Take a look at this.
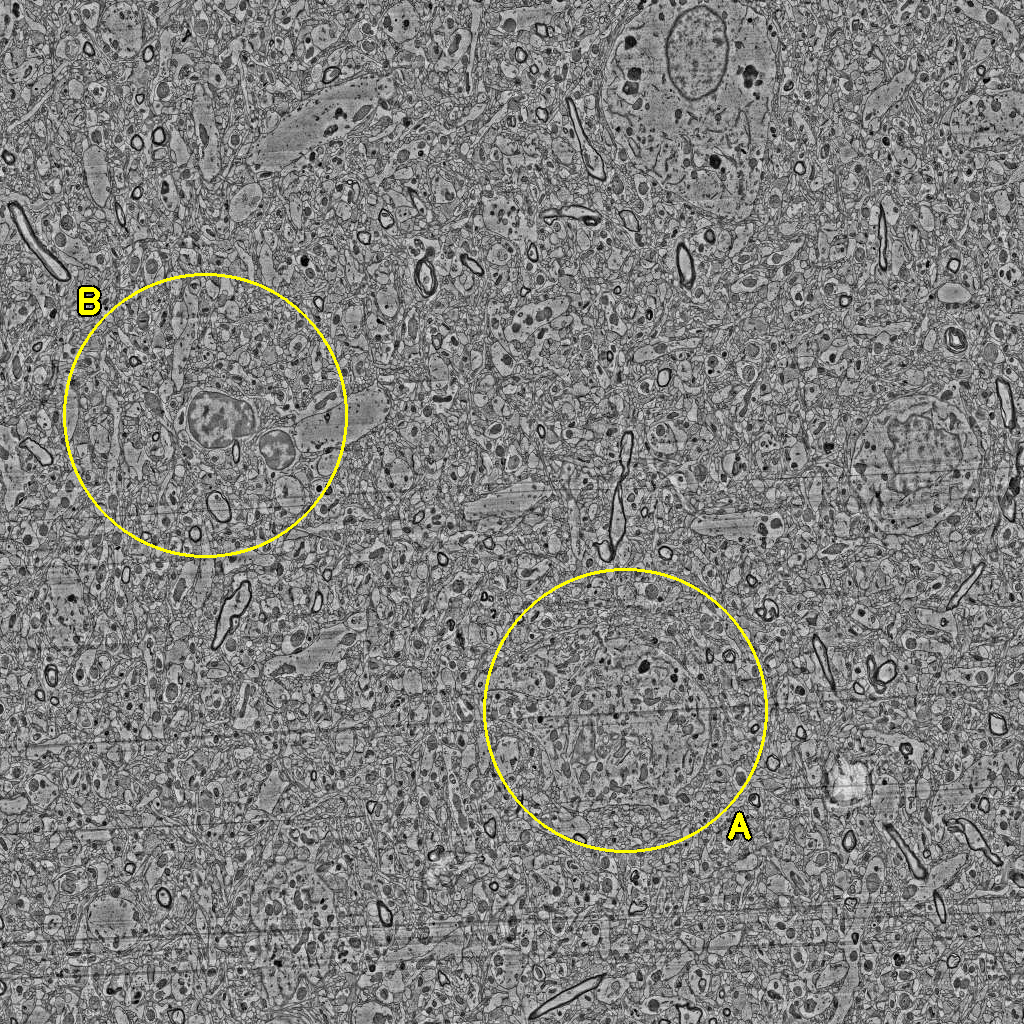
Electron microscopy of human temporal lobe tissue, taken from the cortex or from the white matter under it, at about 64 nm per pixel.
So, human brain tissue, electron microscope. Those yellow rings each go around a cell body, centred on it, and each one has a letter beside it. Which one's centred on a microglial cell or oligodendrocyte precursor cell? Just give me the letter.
B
